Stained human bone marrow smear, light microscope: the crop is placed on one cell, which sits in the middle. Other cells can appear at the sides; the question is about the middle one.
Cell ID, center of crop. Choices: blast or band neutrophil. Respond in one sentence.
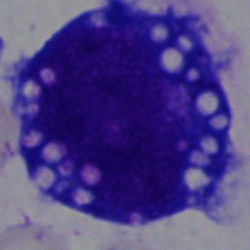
The middle of this crop holds a blast.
